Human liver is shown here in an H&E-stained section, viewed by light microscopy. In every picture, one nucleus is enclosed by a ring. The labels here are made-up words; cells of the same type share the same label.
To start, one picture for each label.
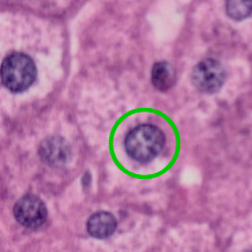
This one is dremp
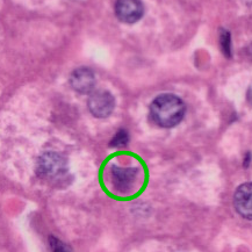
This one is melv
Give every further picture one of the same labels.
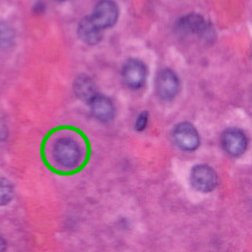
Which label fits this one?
dremp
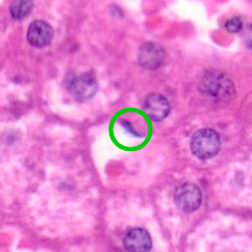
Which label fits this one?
melv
